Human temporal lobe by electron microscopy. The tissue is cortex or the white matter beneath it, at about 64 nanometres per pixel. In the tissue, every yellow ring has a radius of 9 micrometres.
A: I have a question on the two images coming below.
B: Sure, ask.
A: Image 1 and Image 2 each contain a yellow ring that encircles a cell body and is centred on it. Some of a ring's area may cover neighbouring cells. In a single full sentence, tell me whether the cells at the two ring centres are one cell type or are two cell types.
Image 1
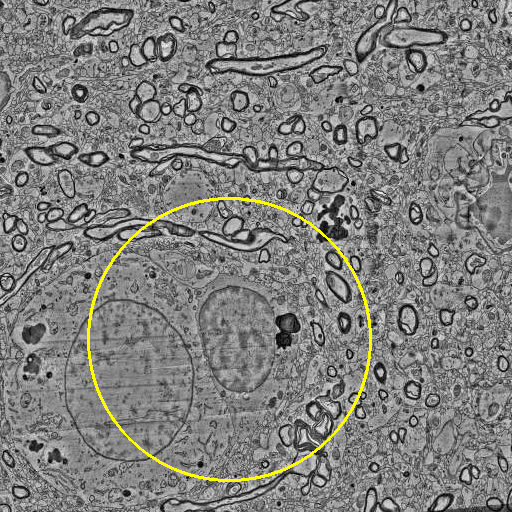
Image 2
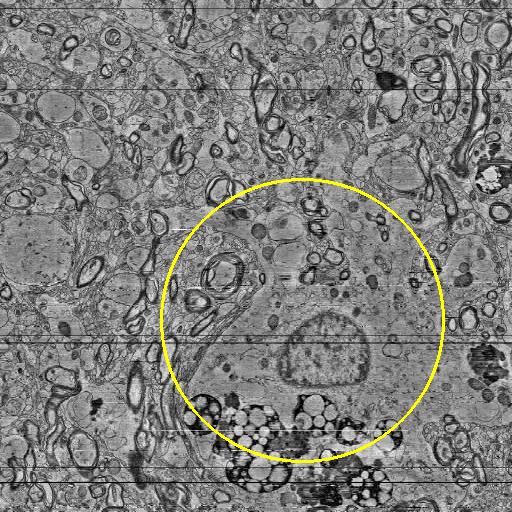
As for the ring-centre cells, the one in Image 1 and the one in Image 2 are two cell types.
